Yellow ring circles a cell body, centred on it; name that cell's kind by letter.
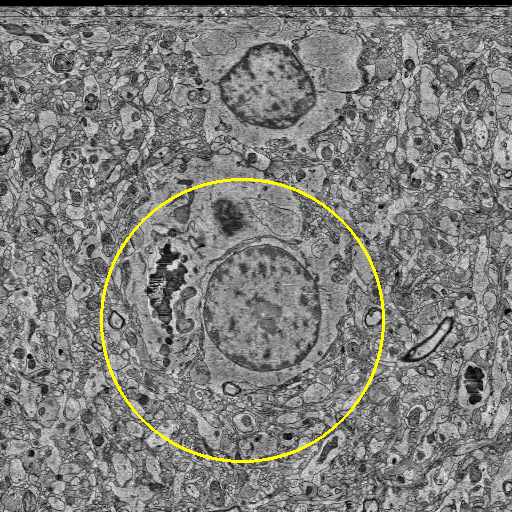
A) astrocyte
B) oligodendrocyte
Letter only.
A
